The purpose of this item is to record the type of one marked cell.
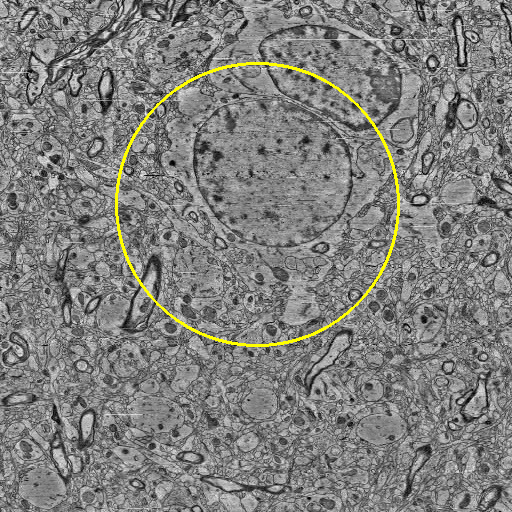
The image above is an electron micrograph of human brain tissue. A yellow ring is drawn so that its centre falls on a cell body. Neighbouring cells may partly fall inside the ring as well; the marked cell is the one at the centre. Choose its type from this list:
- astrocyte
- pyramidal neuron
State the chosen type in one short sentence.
What the ring marks here is an astrocyte.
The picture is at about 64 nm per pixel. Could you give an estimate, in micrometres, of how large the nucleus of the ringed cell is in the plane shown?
In this plane the nucleus is about 10 micrometres across.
